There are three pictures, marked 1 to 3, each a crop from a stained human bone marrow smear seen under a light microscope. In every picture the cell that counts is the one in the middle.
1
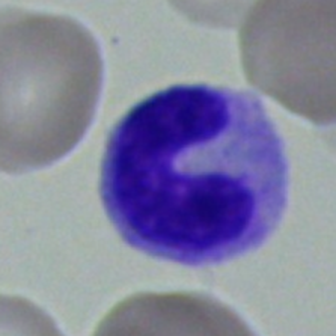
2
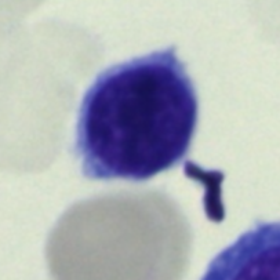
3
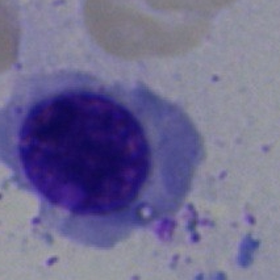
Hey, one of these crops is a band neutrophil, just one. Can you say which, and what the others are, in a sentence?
Crop 1 corresponds to a band neutrophil, while crop 2 is a lymphocyte and crop 3 is a normoblast.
